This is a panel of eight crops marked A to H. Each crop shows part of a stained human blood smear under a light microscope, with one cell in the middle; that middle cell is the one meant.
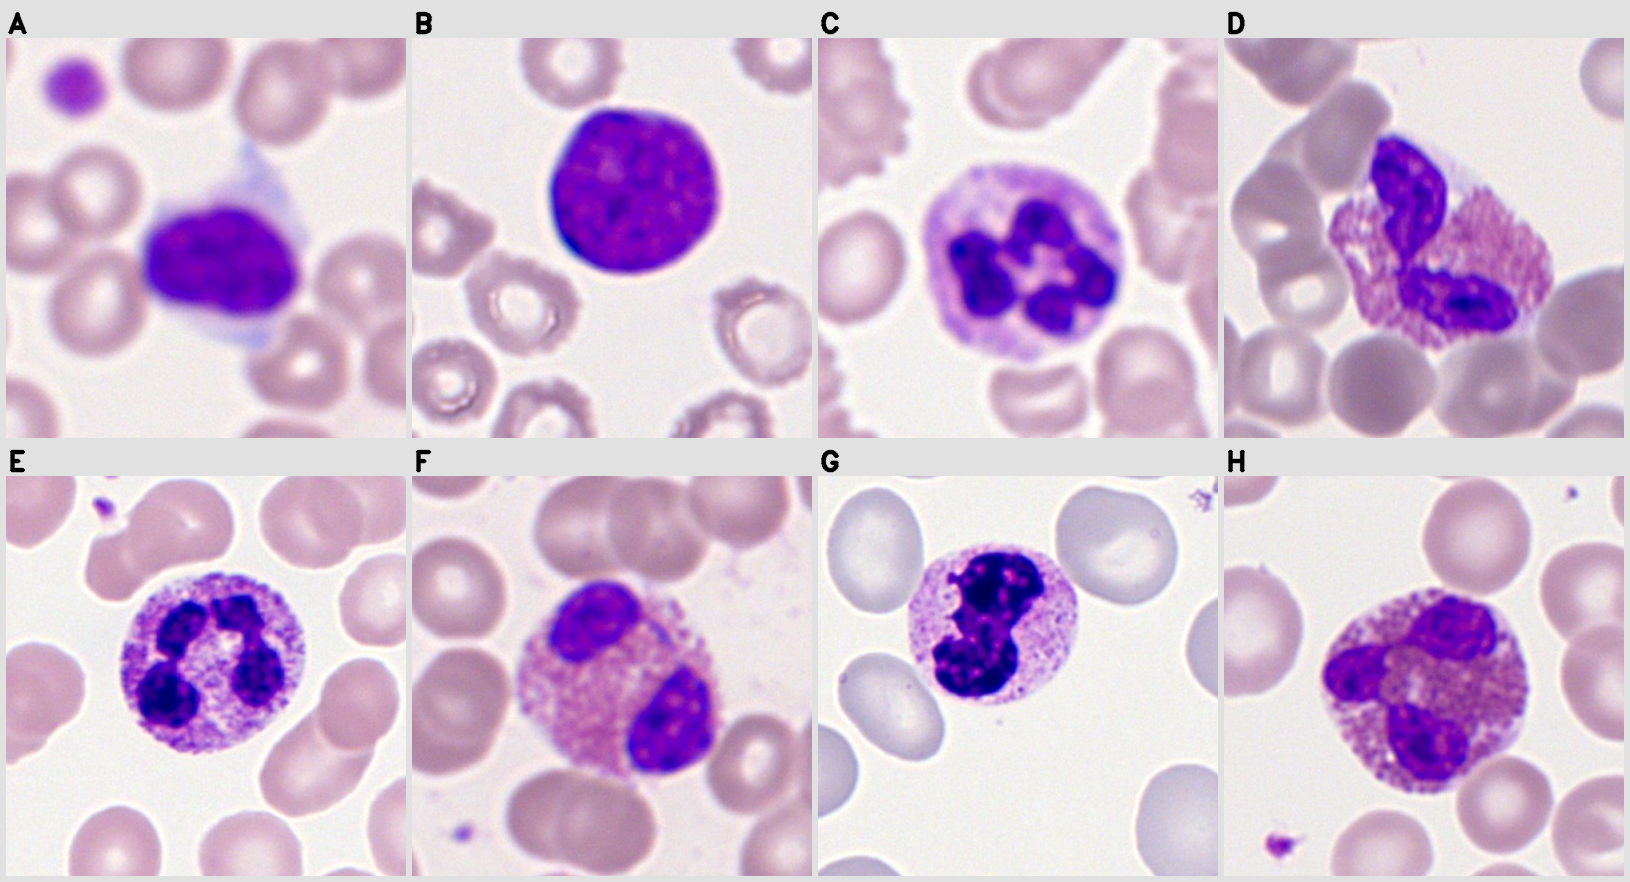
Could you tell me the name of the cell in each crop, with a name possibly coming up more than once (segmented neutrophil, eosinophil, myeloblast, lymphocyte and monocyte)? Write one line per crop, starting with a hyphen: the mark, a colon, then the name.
- A: lymphocyte
- B: myeloblast
- C: segmented neutrophil
- D: eosinophil
- E: segmented neutrophil
- F: eosinophil
- G: segmented neutrophil
- H: eosinophil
